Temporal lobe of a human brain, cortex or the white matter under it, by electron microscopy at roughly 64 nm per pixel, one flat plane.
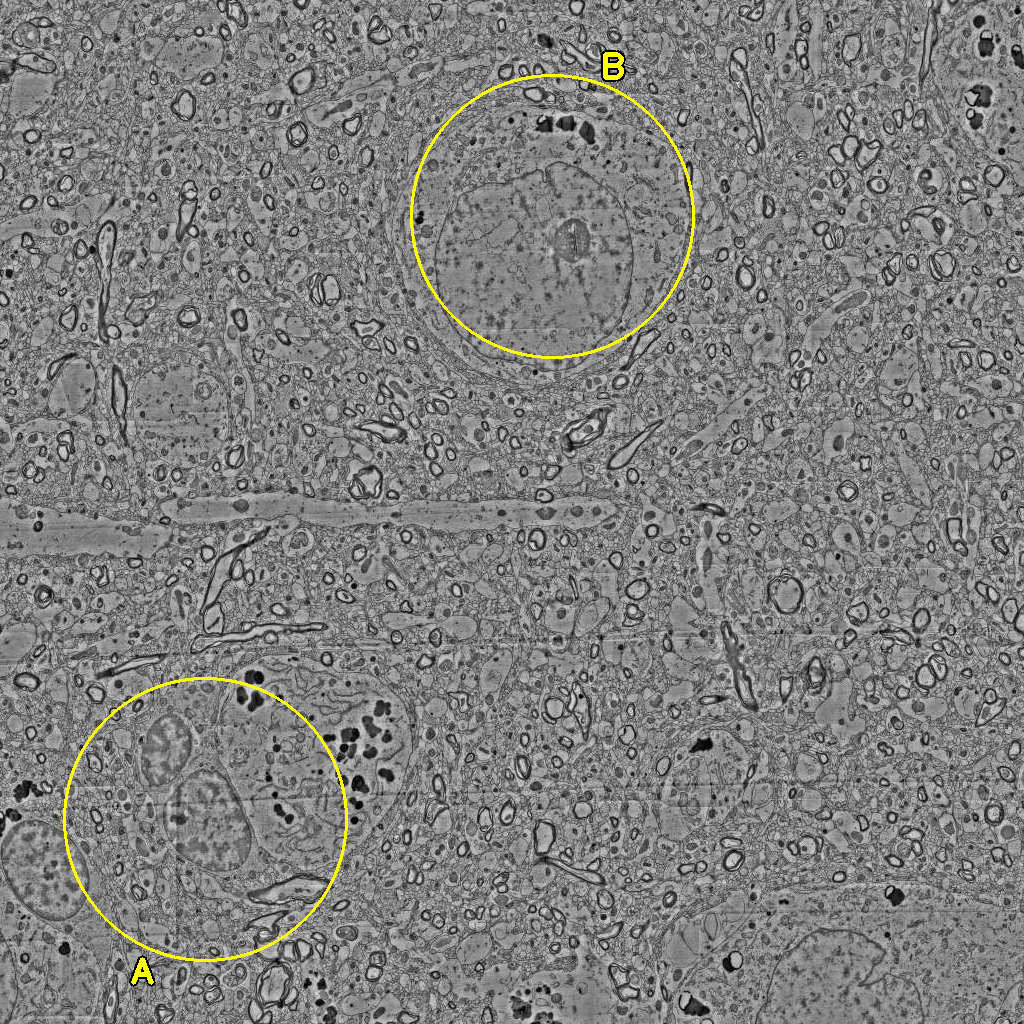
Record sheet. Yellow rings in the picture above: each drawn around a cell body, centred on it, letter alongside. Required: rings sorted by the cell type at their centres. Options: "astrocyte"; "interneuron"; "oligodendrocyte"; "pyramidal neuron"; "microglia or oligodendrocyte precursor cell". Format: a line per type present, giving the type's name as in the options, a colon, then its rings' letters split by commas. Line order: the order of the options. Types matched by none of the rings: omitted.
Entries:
oligodendrocyte: A
pyramidal neuron: B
